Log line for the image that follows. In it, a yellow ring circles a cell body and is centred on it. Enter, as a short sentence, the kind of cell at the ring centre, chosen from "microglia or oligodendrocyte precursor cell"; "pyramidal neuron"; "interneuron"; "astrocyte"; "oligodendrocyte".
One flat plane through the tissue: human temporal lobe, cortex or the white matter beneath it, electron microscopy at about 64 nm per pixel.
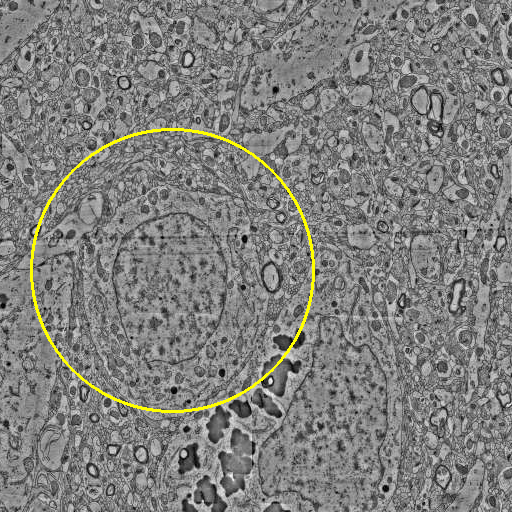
The ring centre is occupied by an interneuron.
